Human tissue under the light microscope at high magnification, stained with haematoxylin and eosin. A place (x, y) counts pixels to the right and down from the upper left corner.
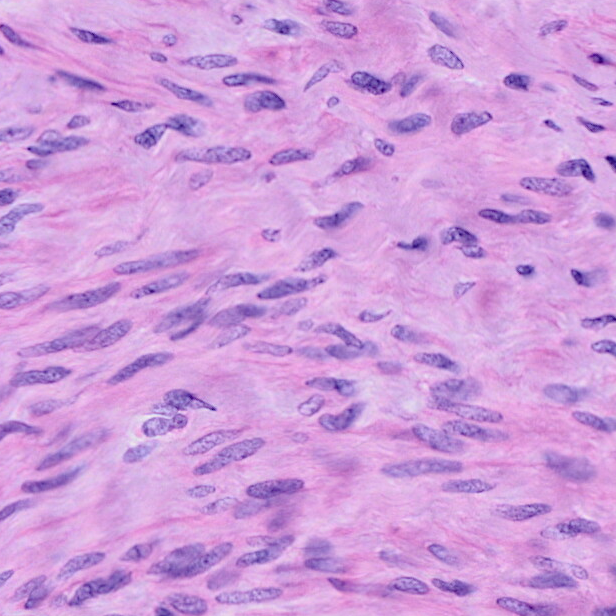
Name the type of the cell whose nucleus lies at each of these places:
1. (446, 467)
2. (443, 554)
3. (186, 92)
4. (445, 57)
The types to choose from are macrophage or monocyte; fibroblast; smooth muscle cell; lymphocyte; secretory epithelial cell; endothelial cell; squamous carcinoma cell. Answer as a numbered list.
1. smooth muscle cell
2. smooth muscle cell
3. smooth muscle cell
4. fibroblast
